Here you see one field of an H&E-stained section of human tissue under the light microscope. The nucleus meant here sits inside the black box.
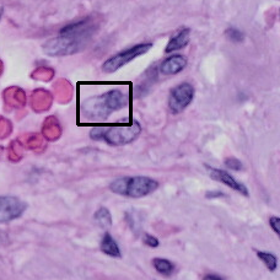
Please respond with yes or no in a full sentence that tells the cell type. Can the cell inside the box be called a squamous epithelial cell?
No, the cell inside the box is regarded as an endothelial cell rather than a squamous epithelial cell.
